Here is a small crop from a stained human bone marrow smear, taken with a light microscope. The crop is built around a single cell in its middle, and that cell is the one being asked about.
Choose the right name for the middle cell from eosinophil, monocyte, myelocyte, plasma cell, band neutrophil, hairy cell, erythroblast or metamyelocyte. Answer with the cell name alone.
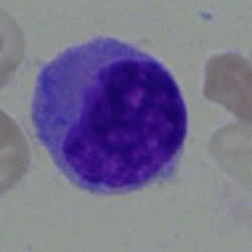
monocyte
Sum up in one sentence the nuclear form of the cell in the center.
In this cell the nucleus is a solitary compact mass, round, oval or kidney-shaped.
